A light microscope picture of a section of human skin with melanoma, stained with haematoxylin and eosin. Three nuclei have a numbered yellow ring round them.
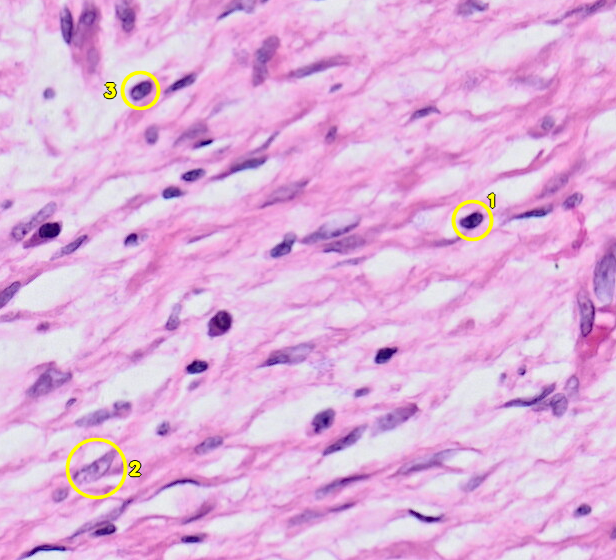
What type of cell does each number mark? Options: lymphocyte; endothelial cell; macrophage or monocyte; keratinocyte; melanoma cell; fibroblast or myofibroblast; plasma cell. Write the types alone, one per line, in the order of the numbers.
lymphocyte
fibroblast or myofibroblast
lymphocyte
